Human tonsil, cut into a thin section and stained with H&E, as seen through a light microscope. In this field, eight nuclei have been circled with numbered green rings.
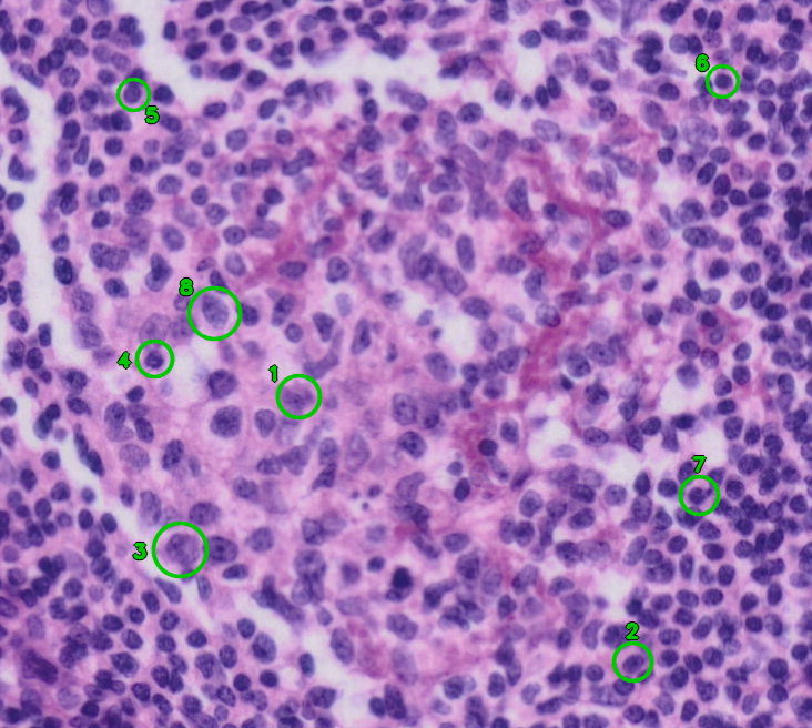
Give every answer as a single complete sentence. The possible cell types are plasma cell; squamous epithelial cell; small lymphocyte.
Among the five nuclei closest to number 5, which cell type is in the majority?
Of the five nuclei nearest to number 5, most belong to small lymphocytes.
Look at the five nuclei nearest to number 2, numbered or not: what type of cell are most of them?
Of the five nuclei nearest to number 2, most belong to small lymphocytes.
